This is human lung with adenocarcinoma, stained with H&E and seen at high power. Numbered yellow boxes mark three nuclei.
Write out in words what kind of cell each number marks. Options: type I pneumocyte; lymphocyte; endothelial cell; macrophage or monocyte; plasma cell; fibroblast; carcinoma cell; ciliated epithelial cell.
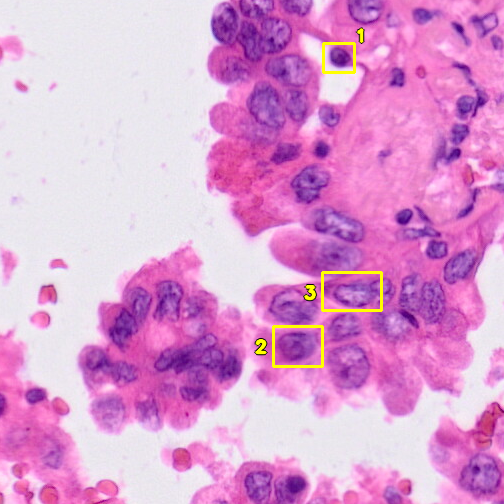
Cell 1 is a lymphocyte. Cells 2 and 3 are carcinoma cells.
